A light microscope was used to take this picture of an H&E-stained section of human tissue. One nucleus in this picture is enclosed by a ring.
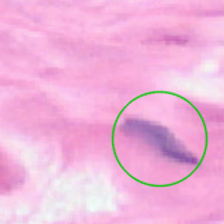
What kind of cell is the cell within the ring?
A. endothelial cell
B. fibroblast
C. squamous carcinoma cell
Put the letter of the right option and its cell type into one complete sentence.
Option B properly identifies the cell within the ring as a fibroblast.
